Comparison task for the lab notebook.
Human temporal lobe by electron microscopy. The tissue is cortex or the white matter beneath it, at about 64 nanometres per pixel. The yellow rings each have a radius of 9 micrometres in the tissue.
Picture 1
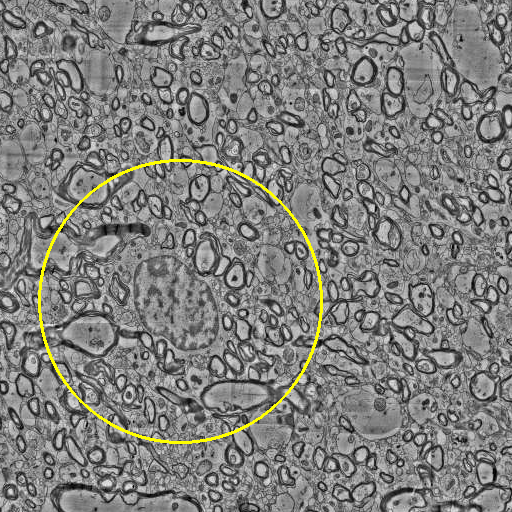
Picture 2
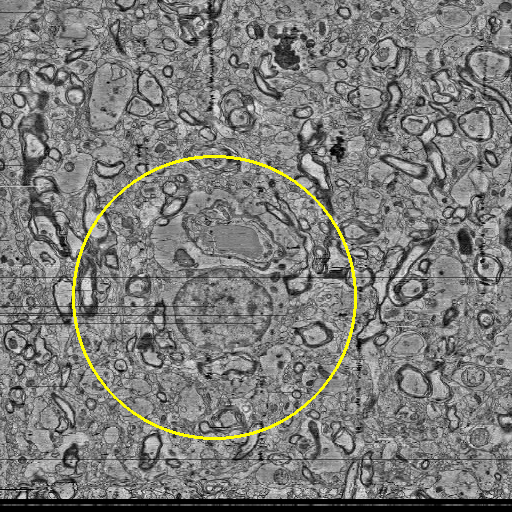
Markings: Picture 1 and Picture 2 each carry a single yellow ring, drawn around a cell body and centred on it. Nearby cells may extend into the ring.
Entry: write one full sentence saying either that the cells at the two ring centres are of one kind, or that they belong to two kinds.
The cells sitting at the ring centres in Picture 1 and Picture 2 are of one kind.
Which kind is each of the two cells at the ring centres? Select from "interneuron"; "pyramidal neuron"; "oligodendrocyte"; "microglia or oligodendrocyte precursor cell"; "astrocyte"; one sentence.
Both the first and the second picture show an oligodendrocyte in the ring.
